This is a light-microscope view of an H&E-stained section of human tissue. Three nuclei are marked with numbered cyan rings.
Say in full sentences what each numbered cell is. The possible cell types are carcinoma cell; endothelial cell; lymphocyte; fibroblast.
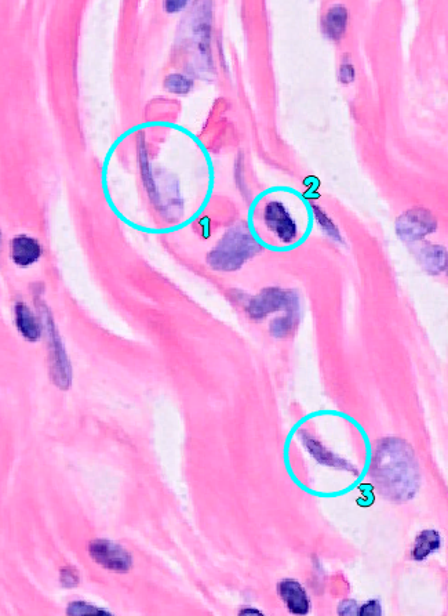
Cell 1 is an endothelial cell, cell 2 is a lymphocyte and cell 3 is a fibroblast.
